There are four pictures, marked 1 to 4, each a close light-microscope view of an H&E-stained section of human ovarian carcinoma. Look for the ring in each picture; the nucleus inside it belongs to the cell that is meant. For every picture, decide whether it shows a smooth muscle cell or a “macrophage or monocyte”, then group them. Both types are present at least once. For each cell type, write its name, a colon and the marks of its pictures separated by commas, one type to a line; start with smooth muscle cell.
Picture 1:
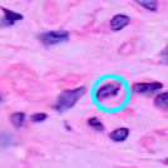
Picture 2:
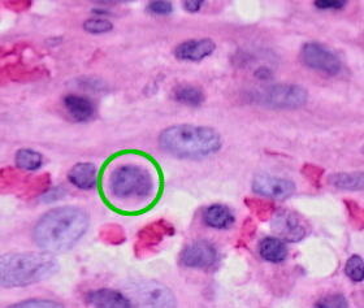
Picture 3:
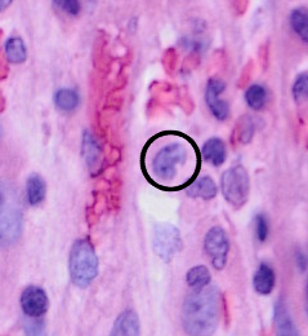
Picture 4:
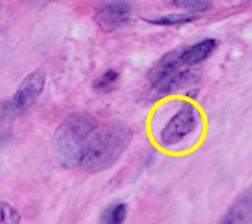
smooth muscle cell: 1
macrophage or monocyte: 2, 3, 4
